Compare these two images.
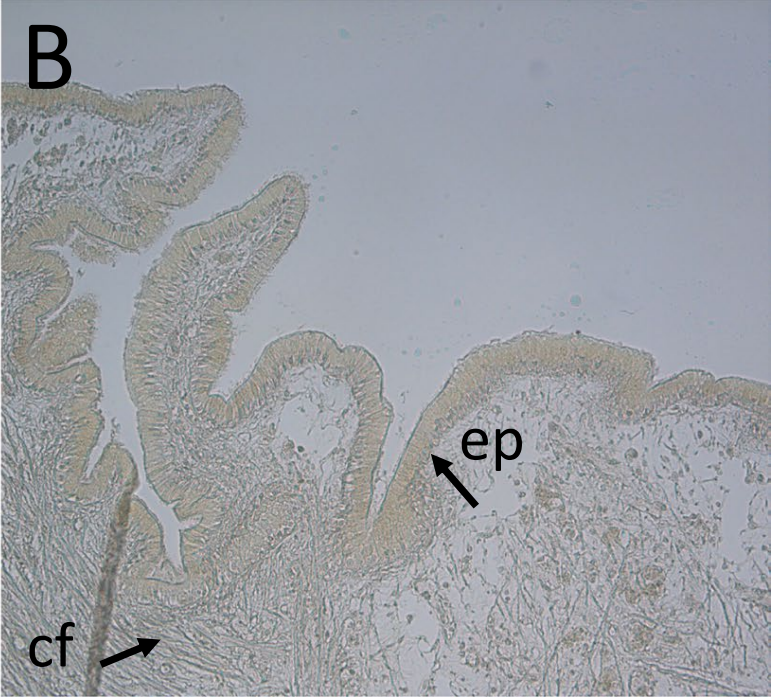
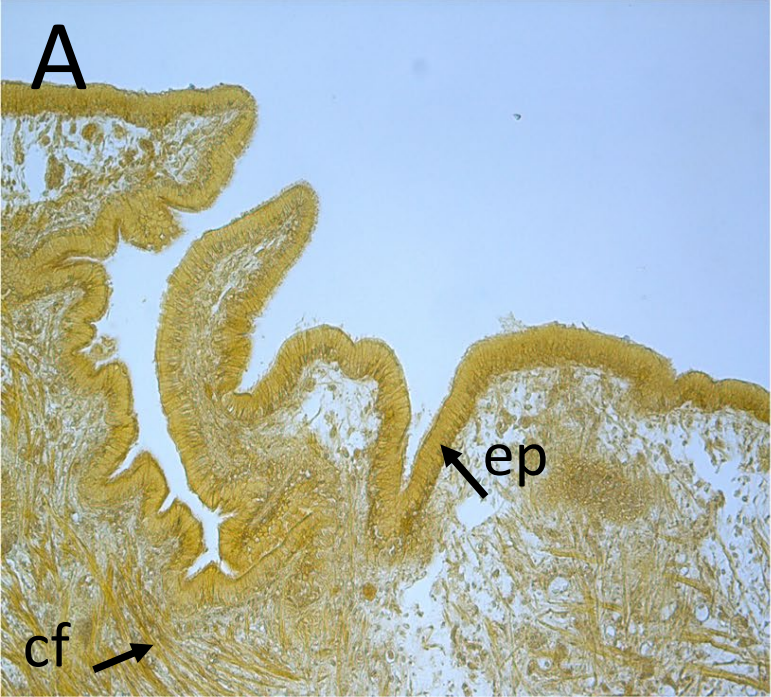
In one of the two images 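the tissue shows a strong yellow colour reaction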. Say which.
the second image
